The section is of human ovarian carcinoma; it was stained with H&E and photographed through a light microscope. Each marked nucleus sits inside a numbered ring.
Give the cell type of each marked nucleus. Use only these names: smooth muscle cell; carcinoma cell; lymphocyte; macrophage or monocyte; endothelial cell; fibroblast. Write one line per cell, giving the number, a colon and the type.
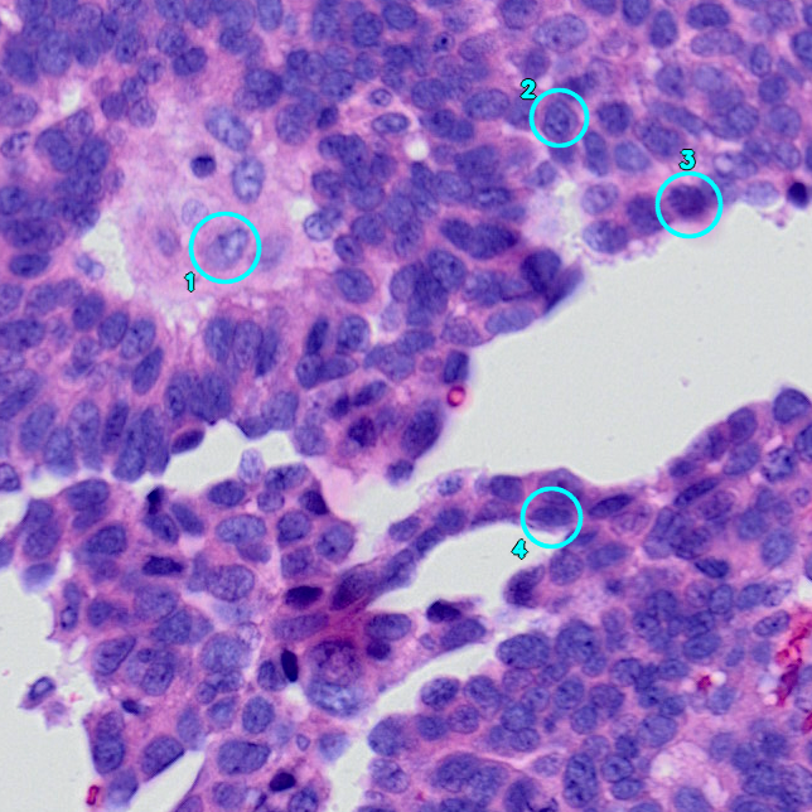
1: fibroblast
2: carcinoma cell
3: carcinoma cell
4: carcinoma cell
